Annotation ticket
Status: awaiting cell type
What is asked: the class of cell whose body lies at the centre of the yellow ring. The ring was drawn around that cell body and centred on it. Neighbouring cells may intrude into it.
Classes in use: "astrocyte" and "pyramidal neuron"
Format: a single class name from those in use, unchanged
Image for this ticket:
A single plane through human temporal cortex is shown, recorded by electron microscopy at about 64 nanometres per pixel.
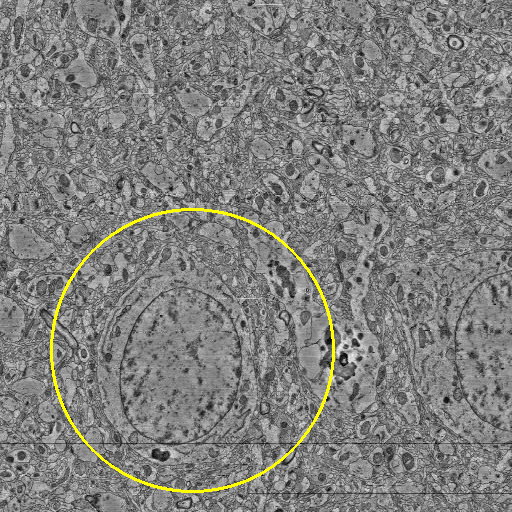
pyramidal neuron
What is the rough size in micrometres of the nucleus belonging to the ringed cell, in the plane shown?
About 10 by 8 micrometers, in this plane.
